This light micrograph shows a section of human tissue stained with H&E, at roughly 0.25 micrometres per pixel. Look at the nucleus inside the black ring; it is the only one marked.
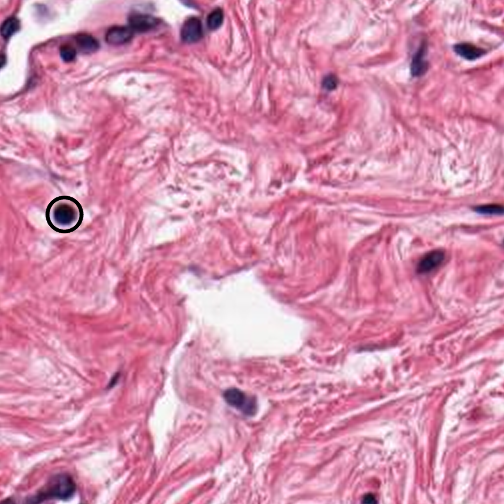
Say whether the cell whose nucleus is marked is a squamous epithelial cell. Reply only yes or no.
no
